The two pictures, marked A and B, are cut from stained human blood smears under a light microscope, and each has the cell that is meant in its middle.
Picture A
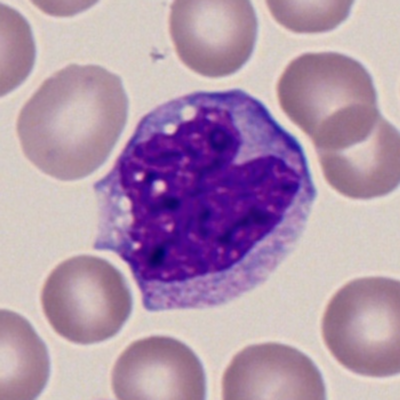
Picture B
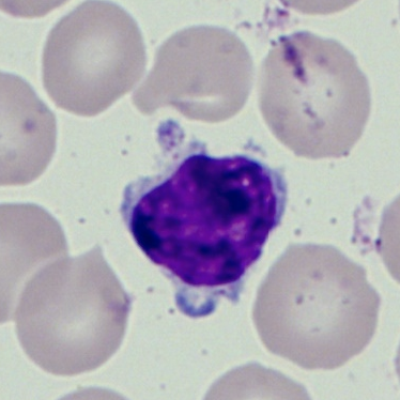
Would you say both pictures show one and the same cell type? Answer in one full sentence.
No, the types are not the same, since picture A shows a monocyte and picture B a lymphocyte.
